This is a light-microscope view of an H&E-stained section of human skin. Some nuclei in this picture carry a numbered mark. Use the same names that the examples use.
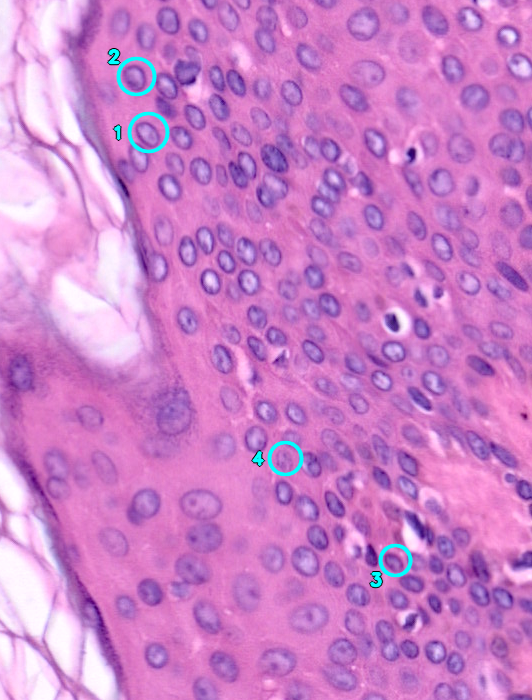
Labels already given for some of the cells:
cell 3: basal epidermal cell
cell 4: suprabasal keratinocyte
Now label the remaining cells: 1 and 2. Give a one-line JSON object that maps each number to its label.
{"1": "suprabasal keratinocyte", "2": "suprabasal keratinocyte"}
